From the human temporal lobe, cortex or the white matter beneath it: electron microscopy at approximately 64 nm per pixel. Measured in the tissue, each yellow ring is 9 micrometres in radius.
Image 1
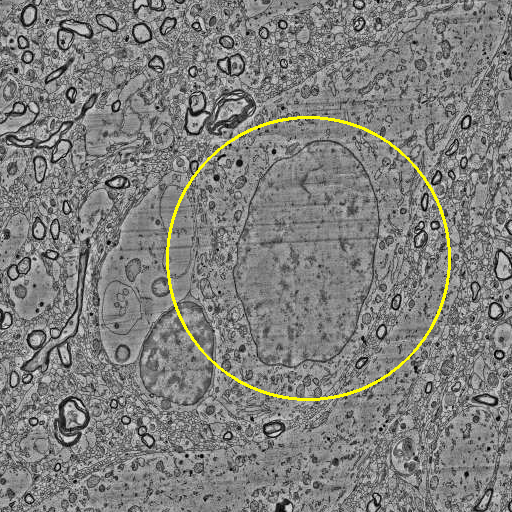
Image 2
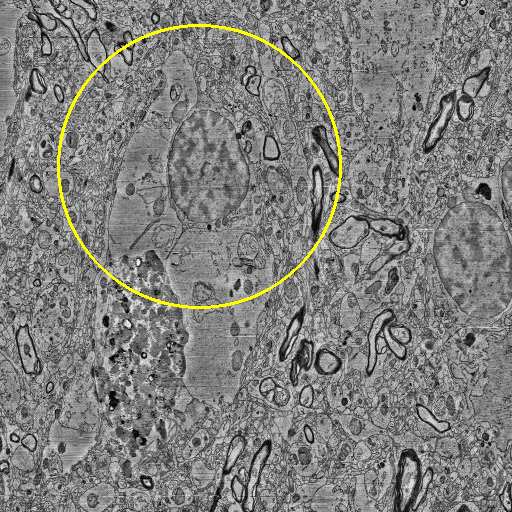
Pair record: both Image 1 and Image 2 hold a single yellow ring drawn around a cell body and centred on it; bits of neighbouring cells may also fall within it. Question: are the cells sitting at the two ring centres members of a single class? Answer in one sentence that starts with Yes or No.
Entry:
No, the ring-centre cells in Image 1 and Image 2 come from two classes.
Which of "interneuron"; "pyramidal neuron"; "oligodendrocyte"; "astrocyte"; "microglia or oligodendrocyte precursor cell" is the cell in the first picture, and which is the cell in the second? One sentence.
The two differ: the first cell is a pyramidal neuron and the second is an oligodendrocyte.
